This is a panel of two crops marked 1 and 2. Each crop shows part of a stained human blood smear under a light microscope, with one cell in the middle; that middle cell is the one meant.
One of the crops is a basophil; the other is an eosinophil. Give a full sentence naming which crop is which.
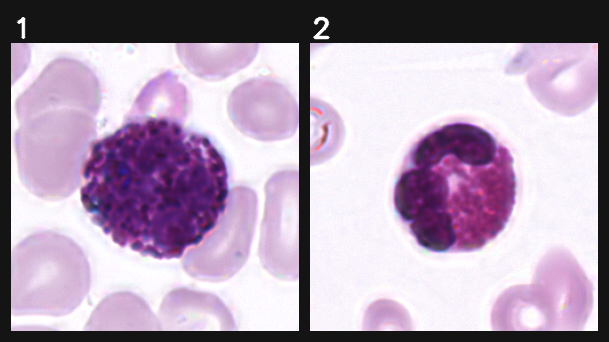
Crop 1 is a basophil, with crop 2 being an eosinophil.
